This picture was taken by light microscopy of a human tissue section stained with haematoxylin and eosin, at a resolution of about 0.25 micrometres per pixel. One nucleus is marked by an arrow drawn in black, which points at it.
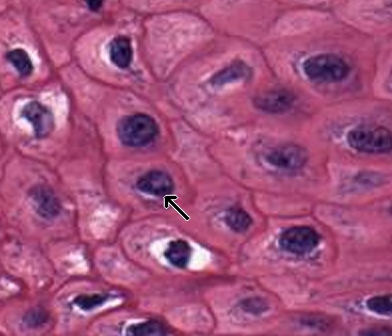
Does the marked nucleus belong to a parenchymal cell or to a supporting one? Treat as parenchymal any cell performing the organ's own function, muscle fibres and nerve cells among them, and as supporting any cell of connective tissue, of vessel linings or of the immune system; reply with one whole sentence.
The marked nucleus is that of a squamous epithelial cell, which is a parenchymal cell.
